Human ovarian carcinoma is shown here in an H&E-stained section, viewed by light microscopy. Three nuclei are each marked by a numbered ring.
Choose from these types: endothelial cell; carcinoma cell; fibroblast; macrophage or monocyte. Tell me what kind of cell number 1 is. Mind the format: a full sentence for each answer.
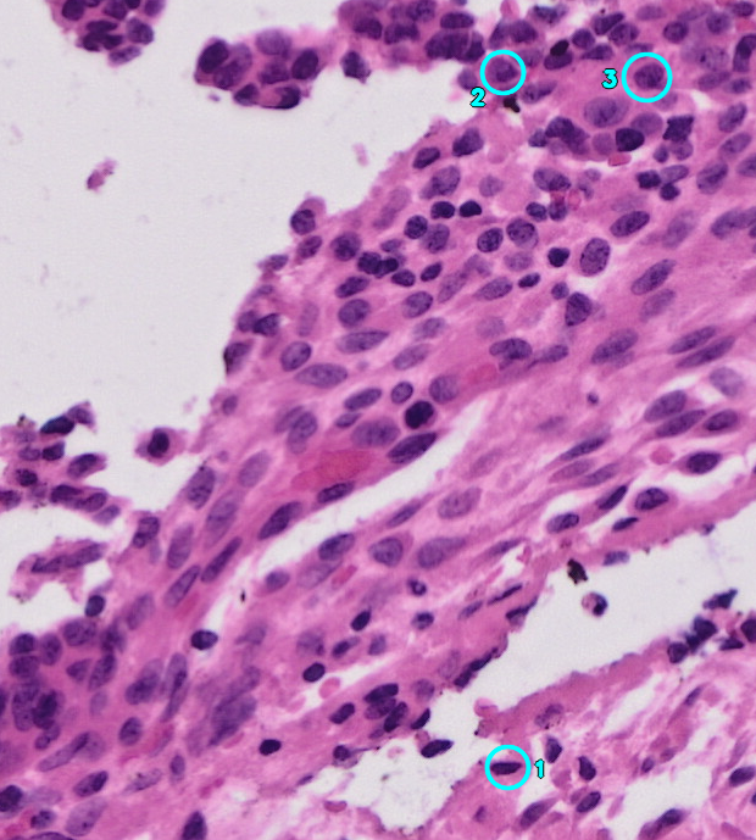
Cell number 1 in this section is a fibroblast.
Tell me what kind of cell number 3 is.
The marked nucleus 3 is that of a carcinoma cell.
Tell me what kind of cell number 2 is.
Cell 2, as marked in the section, is a carcinoma cell.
